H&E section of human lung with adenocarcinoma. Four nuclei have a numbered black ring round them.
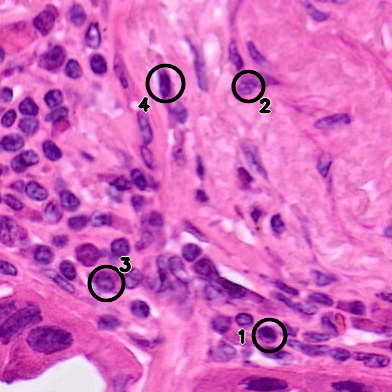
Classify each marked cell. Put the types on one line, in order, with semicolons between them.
lymphocyte; smooth muscle cell or pericyte; plasma cell; plasma cell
